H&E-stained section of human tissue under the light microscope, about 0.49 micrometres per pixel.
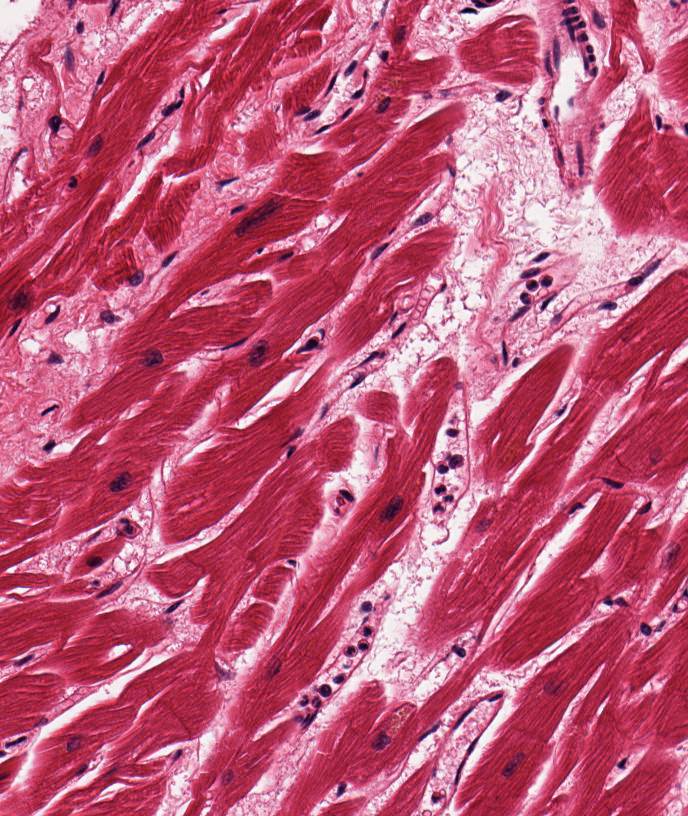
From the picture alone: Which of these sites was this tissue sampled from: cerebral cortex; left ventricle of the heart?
left ventricle of the heart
